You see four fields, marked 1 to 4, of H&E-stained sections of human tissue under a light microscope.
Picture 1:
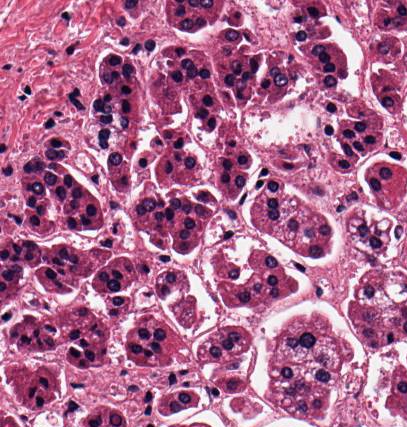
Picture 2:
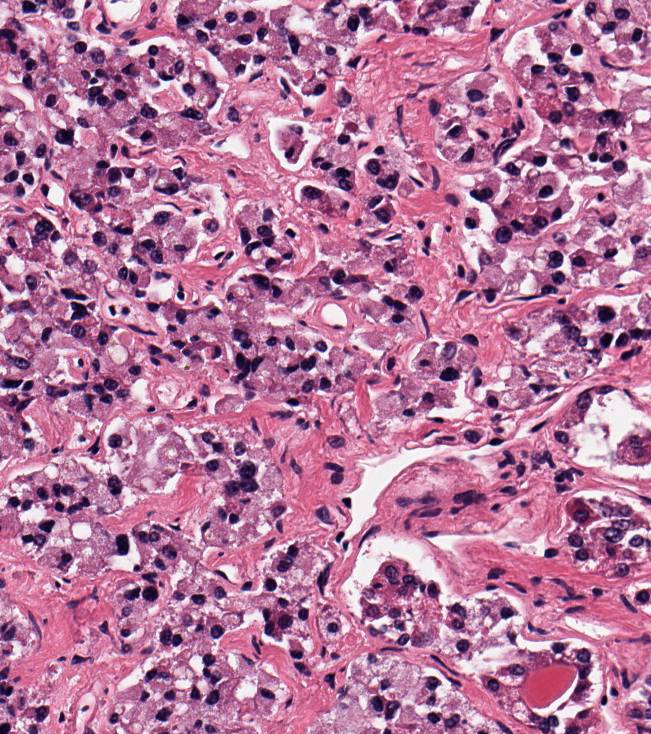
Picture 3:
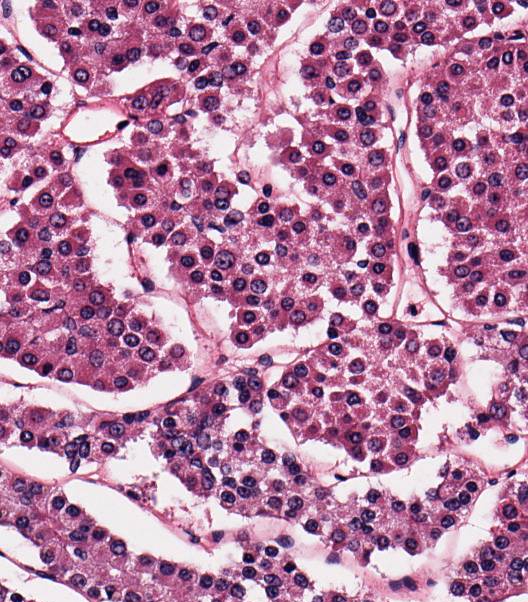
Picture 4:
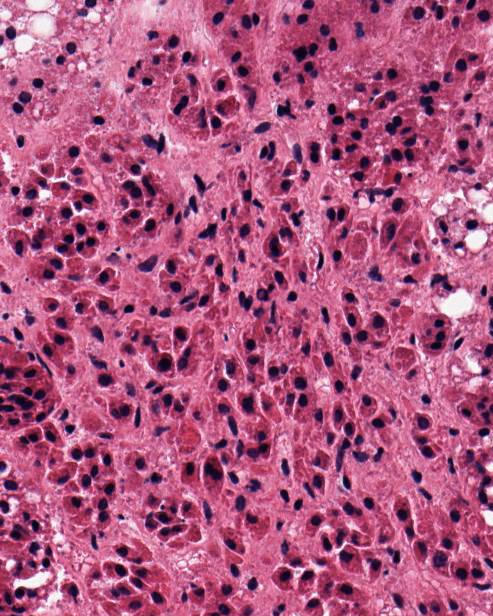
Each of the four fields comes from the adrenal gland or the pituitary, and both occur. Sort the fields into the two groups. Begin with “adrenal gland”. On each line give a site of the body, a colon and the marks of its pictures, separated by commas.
adrenal gland: 1, 4
pituitary: 2, 3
